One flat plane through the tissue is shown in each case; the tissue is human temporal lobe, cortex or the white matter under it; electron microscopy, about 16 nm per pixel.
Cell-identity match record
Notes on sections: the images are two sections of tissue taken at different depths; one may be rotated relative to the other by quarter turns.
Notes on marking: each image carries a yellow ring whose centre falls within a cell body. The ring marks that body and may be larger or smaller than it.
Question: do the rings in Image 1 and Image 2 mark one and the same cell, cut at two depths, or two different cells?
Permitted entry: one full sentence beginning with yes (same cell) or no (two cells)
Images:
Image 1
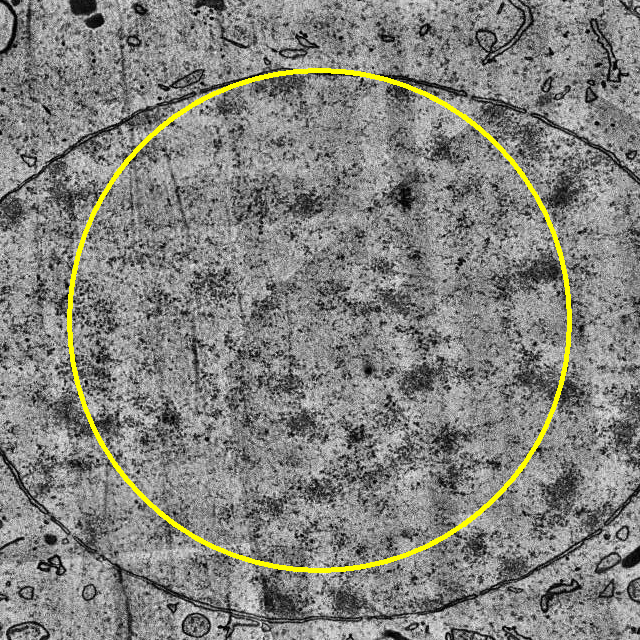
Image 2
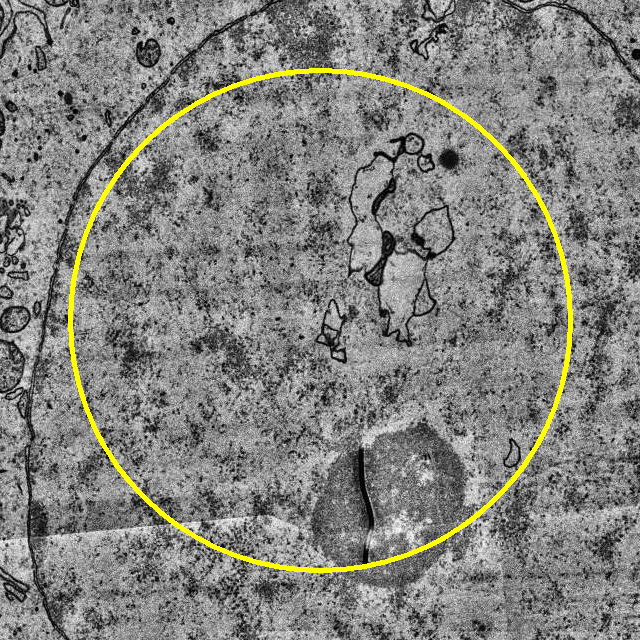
No, the ringed cells are two separate cells.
